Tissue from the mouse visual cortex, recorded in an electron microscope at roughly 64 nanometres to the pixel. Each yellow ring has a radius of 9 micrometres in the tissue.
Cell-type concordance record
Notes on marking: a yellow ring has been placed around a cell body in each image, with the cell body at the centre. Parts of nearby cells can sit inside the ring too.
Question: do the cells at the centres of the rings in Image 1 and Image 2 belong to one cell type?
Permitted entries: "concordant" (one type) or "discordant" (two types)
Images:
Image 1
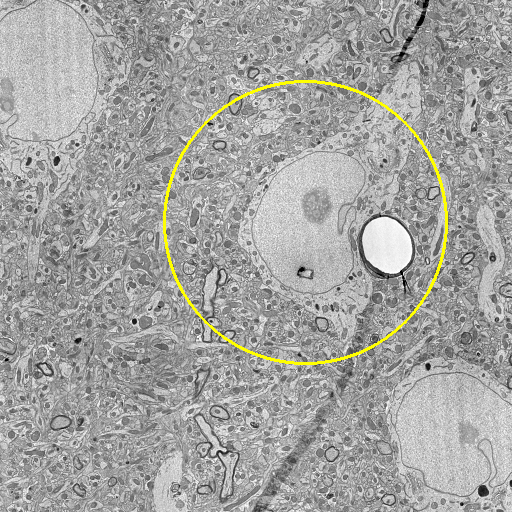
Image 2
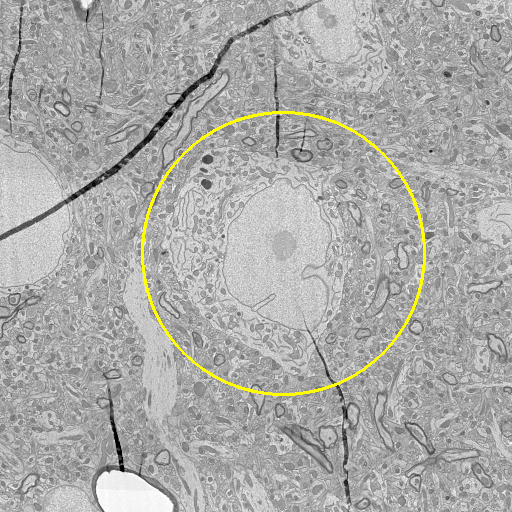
discordant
